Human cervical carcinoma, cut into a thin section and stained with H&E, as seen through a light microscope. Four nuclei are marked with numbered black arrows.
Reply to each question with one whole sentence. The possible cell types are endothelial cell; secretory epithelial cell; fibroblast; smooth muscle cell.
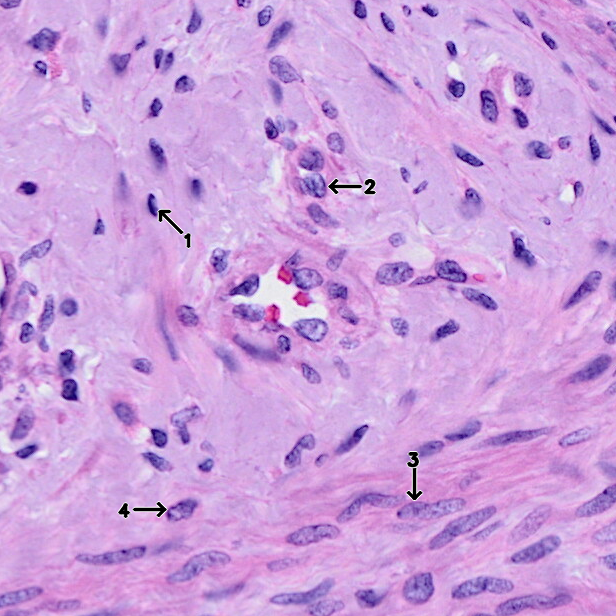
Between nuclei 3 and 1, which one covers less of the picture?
Nucleus 1 is the smaller one; nucleus 3 covers about 2.5 times its area.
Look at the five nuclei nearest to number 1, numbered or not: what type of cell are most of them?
The majority of the five nuclei closest to number 1 belong to fibroblasts.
